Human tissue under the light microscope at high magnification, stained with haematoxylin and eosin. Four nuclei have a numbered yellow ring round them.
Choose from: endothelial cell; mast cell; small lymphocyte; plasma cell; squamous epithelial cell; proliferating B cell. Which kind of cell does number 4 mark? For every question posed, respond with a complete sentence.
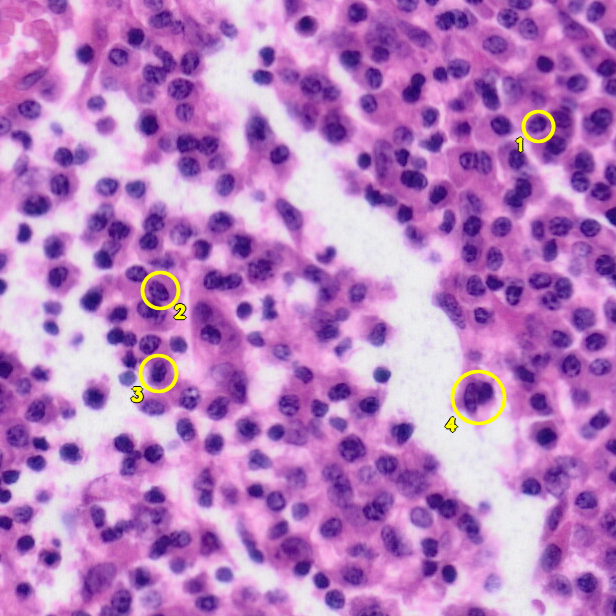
The marked cell with the number 4 is recognised as a squamous epithelial cell.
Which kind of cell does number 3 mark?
Cell 3, as marked in the section, is a plasma cell.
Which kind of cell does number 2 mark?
The identity of cell 2 is that of a plasma cell.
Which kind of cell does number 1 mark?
The cell carrying label 1 is identified as a plasma cell.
